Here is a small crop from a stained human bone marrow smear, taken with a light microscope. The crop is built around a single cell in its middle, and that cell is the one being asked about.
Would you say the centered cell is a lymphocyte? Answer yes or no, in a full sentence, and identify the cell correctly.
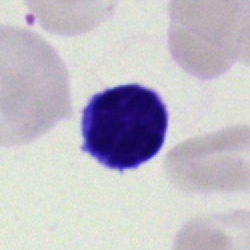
Yes, the cell centred in this crop is a lymphocyte.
